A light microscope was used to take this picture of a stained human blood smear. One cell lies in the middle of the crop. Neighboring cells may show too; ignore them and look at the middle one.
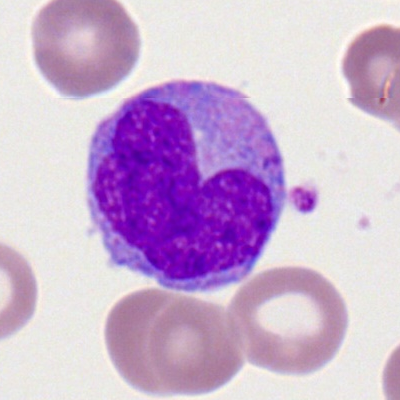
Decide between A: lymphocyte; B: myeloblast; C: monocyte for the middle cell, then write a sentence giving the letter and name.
Option C is accurate; the centrally placed cell is a monocyte.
